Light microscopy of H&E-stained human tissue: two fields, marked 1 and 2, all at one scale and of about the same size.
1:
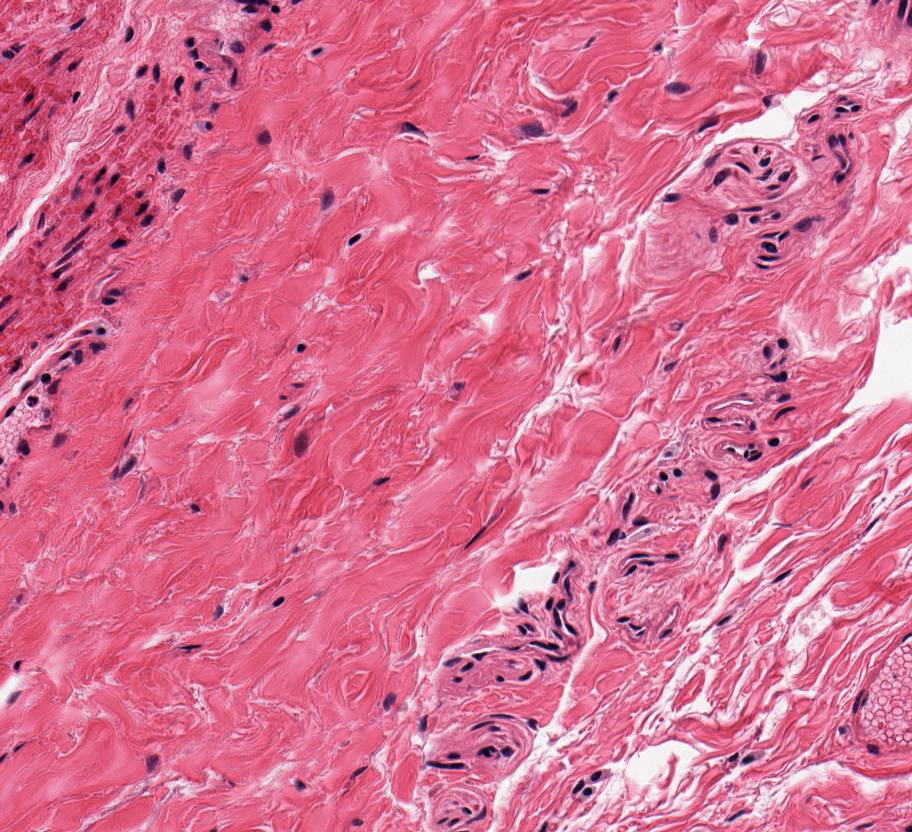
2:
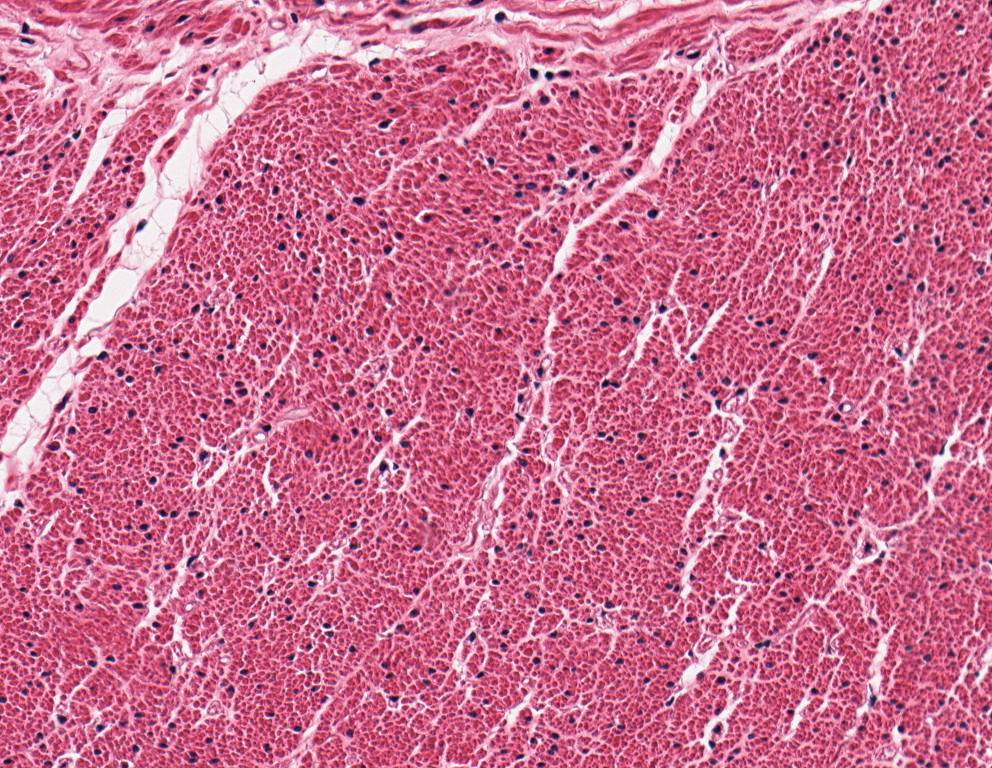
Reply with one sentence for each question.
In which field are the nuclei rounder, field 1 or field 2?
Rounder nuclei lie in field 2.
